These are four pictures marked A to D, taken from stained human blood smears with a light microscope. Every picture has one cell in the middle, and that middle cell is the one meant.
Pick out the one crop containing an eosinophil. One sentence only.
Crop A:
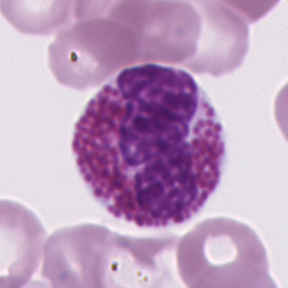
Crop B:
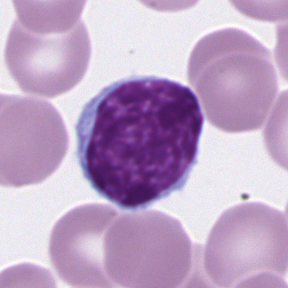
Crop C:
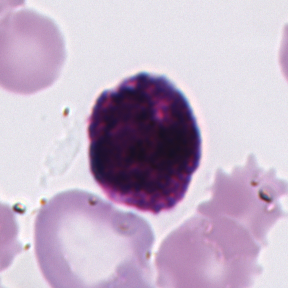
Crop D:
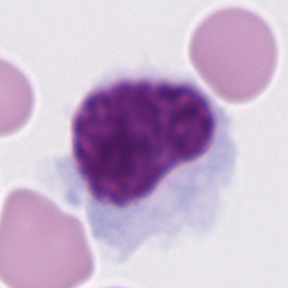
Crop A is the crop that displays an eosinophil.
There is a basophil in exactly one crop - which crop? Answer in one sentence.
Of the crops given, a basophil is found in crop C.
